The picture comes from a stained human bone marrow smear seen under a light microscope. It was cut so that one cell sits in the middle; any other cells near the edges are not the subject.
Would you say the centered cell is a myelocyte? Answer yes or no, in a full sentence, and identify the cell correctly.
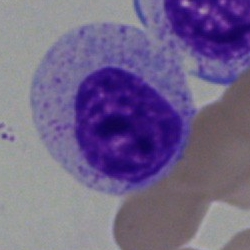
Yes, the one cell at the centre is a myelocyte.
